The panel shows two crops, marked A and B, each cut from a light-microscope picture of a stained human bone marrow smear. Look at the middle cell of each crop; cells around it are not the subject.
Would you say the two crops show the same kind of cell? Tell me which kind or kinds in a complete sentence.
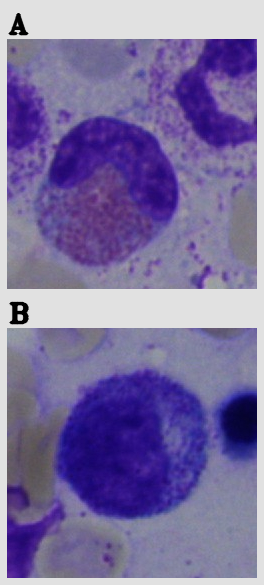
No, the cells are an eosinophil in crop A and a myelocyte in crop B.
